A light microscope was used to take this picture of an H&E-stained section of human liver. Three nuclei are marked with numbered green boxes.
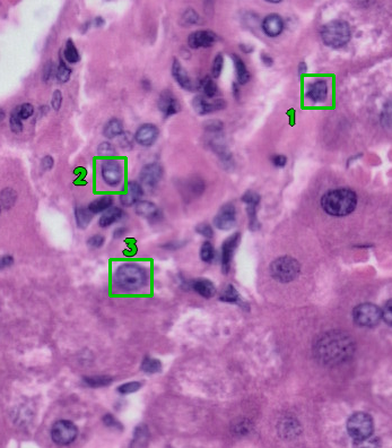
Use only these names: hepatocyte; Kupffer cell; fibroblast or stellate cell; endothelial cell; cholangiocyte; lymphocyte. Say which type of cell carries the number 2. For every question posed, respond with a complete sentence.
The cell tagged with 2 in this tissue section is a cholangiocyte.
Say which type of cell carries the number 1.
Within this field of view, the cell labelled 1 is a fibroblast or stellate cell.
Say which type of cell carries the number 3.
Cell 3 should be recorded as a hepatocyte.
